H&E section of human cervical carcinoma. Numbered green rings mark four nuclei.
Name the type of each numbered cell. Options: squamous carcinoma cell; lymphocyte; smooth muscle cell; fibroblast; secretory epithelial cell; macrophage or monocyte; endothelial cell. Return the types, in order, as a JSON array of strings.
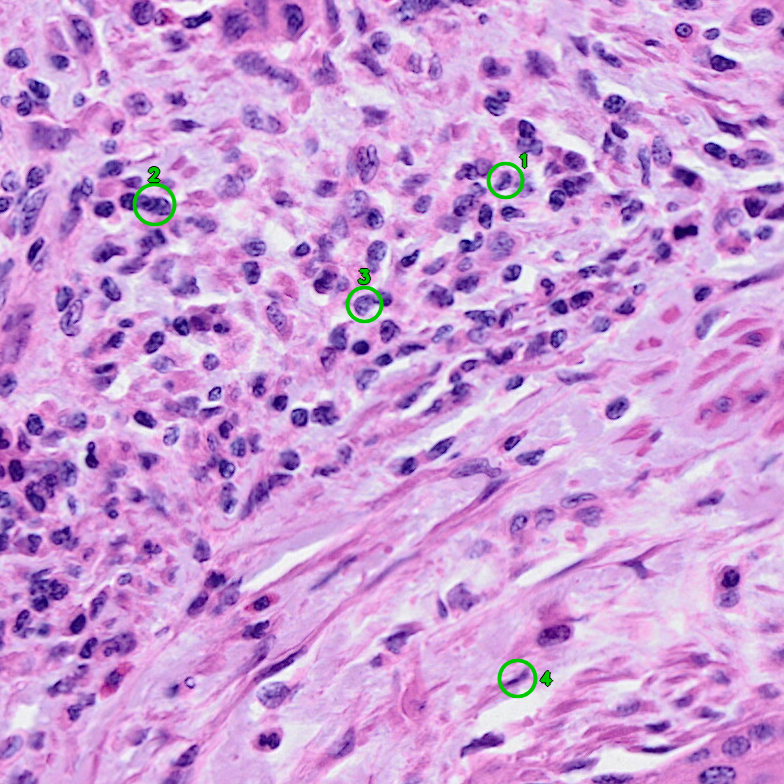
["lymphocyte", "lymphocyte", "lymphocyte", "fibroblast"]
